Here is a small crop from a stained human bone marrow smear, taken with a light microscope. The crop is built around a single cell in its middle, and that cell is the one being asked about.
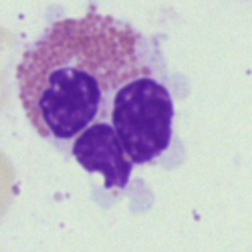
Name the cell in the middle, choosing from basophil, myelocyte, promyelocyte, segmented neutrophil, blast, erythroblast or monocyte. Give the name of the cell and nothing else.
basophil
